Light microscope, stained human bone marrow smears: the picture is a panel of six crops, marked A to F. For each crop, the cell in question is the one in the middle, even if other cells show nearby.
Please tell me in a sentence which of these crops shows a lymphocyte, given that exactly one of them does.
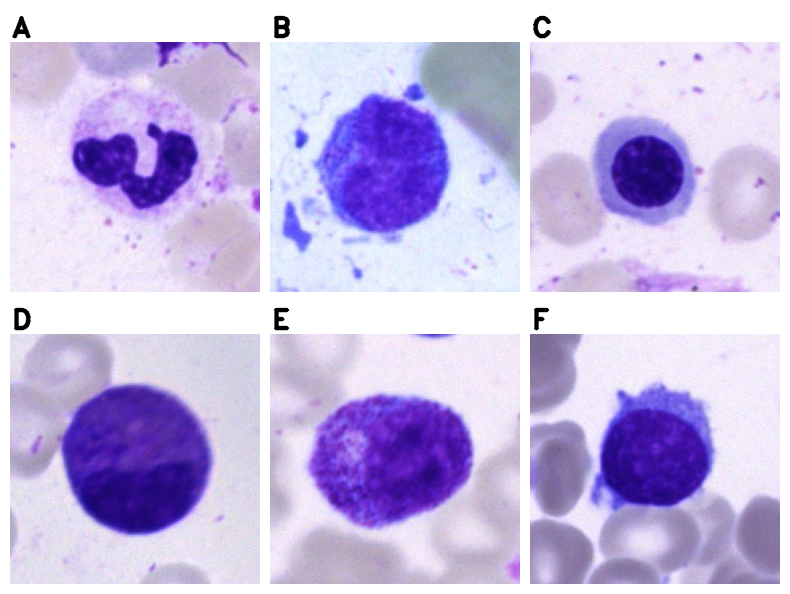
Identified crop: F, the one that shows a lymphocyte.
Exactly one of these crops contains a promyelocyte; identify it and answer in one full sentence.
It is crop E, not any other, that shows a promyelocyte.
